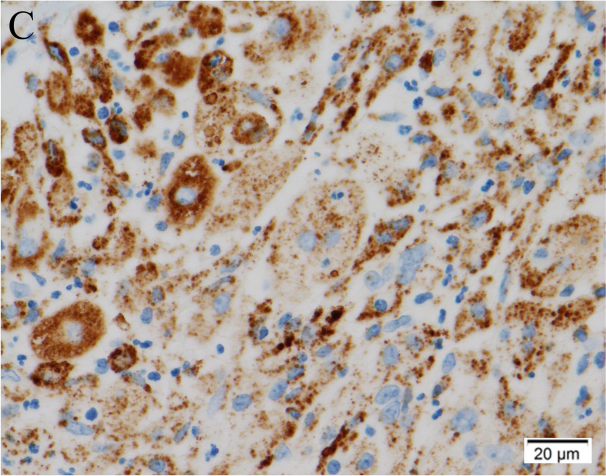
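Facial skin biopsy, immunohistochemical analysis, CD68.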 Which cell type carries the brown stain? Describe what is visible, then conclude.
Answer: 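Large cells with round pale nuclei have granular brown cytoplasm. Small blue-nucleated cells between them lack the brown stain.
Answer: large round cells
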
